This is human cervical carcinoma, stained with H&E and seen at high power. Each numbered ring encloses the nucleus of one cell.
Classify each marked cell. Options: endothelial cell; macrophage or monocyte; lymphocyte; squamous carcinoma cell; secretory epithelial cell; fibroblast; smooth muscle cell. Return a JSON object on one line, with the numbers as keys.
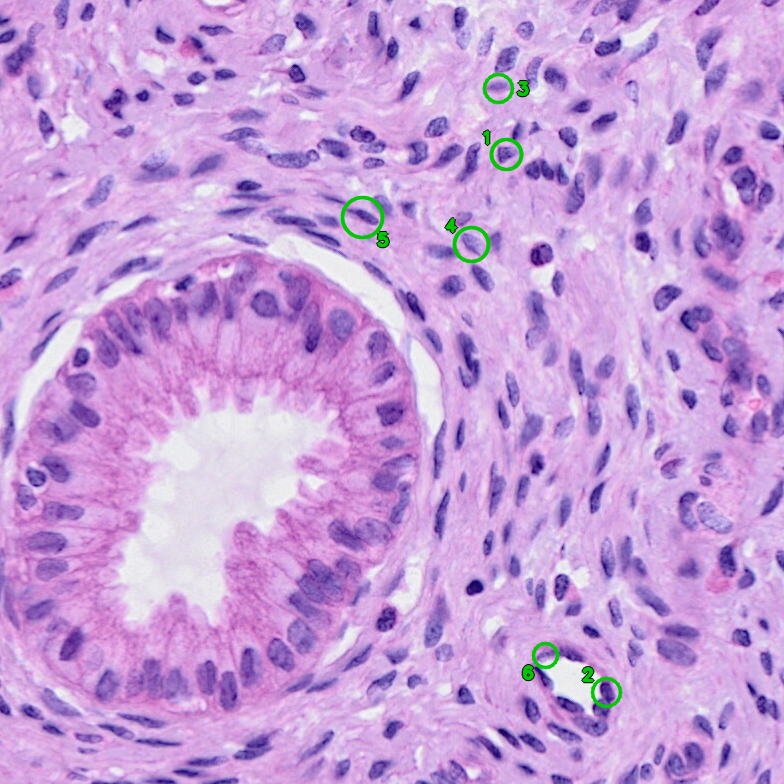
{"1": "fibroblast", "2": "endothelial cell", "3": "fibroblast", "4": "fibroblast", "5": "fibroblast", "6": "endothelial cell"}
